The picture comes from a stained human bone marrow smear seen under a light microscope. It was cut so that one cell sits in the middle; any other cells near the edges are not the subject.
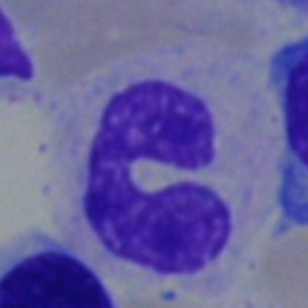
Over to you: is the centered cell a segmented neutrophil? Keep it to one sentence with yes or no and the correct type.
No, the central cell is identified not as a segmented neutrophil but as a band neutrophil.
